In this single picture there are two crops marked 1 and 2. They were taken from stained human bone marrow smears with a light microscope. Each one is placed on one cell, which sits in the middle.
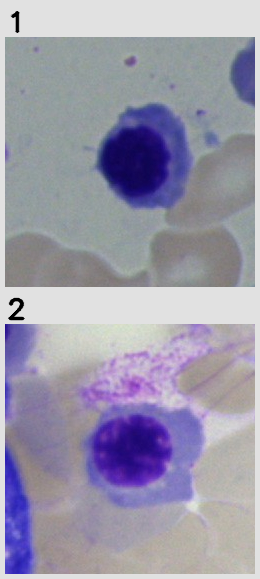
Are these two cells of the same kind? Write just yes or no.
yes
